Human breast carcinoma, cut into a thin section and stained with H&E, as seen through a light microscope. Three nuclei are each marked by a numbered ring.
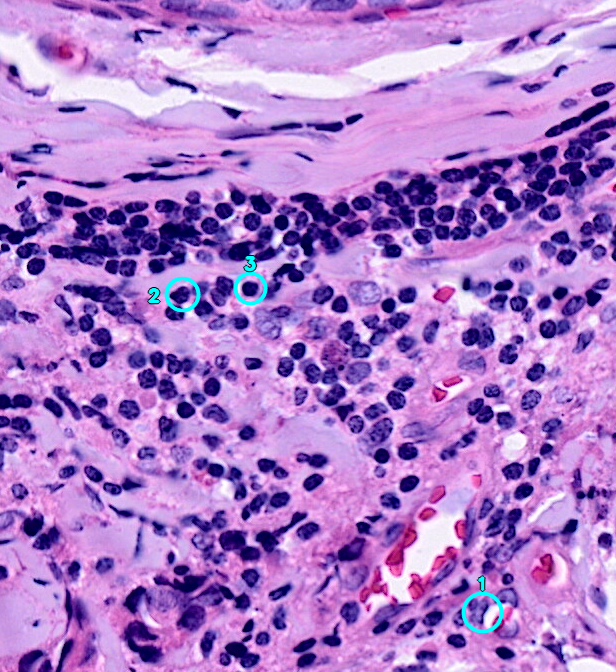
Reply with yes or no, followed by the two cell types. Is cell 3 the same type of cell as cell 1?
No, cell 3 is a lymphocyte and cell 1 is an endothelial cell.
